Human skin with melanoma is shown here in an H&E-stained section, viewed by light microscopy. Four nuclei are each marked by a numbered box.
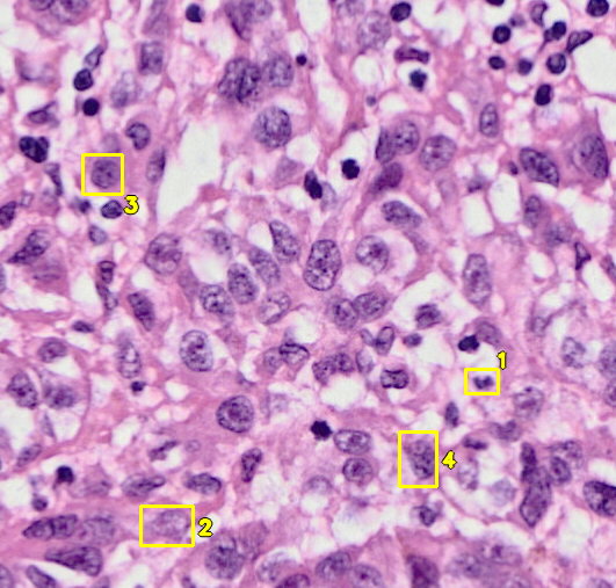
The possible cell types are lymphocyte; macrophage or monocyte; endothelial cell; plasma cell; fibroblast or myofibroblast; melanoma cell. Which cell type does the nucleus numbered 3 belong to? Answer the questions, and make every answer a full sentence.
The cell carrying label 3 is identified as a melanoma cell.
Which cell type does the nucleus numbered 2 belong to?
Among the marked nuclei, number 2 belongs to a melanoma cell.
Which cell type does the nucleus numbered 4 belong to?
The nucleus labelled 4 belongs to a melanoma cell.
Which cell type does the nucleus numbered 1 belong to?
The nucleus labeled 1 belongs to a lymphocyte.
